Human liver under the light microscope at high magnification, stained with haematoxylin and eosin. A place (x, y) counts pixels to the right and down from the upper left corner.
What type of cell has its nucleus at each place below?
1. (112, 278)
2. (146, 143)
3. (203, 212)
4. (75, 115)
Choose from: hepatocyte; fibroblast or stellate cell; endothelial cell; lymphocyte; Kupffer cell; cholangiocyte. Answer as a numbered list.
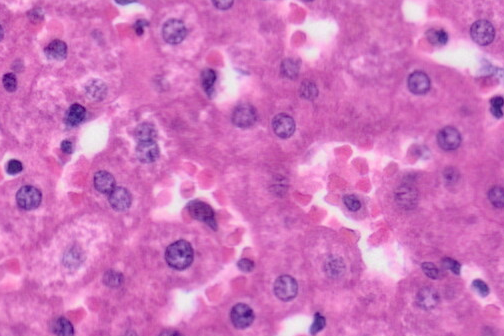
1. hepatocyte
2. hepatocyte
3. Kupffer cell
4. fibroblast or stellate cell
